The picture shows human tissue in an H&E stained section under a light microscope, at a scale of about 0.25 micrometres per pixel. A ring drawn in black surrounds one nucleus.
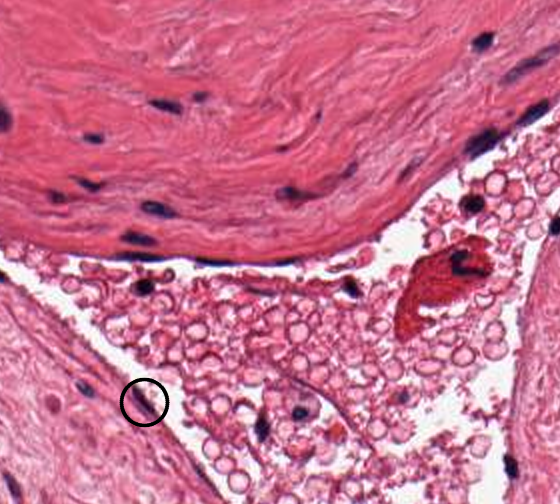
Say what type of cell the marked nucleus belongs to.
endothelial cell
